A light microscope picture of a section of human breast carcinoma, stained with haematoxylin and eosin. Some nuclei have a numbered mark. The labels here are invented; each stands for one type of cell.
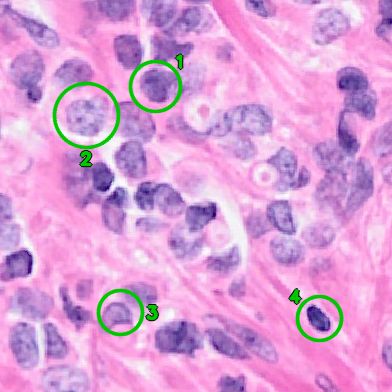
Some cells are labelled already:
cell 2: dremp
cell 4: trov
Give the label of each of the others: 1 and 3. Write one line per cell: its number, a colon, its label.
1: dremp
3: dremp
